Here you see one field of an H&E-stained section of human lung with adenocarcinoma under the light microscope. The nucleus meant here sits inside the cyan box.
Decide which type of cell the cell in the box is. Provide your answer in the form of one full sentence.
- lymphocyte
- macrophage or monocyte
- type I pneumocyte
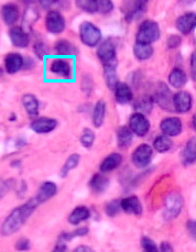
For the purposes of cell typing, the cell in the box is categorized as a lymphocyte.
